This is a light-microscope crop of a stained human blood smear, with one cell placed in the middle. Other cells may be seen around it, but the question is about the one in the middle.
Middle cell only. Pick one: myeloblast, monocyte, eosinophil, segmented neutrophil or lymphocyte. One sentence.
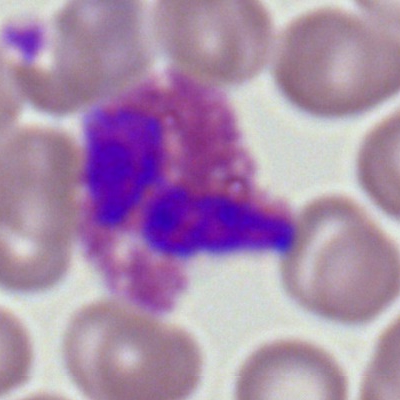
The cell around which this crop is centred is an eosinophil.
